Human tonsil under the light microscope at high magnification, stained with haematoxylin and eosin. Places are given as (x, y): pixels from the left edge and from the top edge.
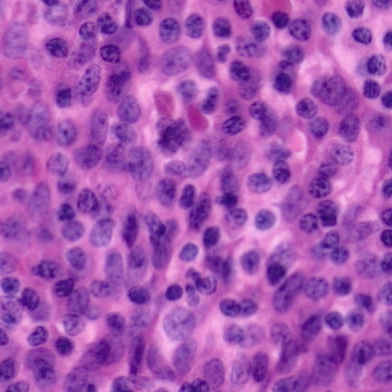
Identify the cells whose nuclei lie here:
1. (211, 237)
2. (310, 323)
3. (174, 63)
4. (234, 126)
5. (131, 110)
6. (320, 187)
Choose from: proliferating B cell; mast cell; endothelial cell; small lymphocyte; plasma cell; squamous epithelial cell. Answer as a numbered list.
1. squamous epithelial cell
2. squamous epithelial cell
3. squamous epithelial cell
4. plasma cell
5. squamous epithelial cell
6. plasma cell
